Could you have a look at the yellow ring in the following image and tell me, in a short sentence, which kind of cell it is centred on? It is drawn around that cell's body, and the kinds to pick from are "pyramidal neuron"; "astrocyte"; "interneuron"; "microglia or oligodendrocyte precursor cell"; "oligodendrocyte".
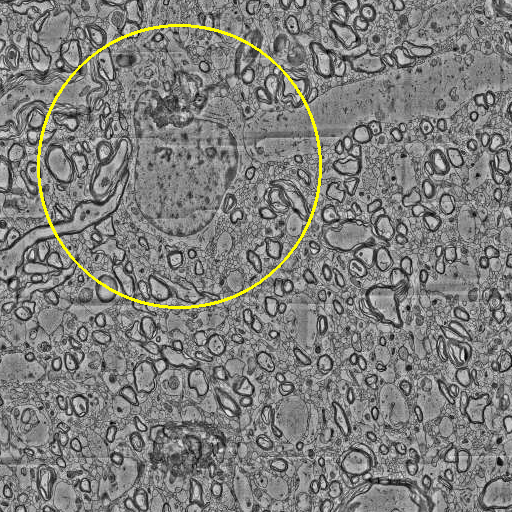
The ring is centred on the body of a microglial cell or oligodendrocyte precursor cell.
